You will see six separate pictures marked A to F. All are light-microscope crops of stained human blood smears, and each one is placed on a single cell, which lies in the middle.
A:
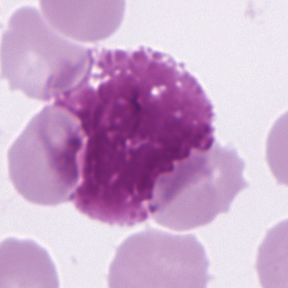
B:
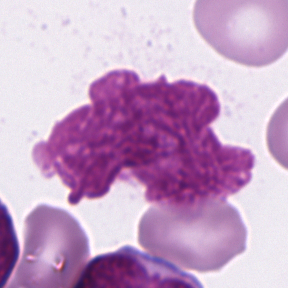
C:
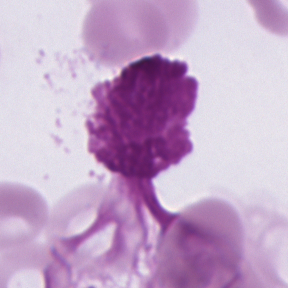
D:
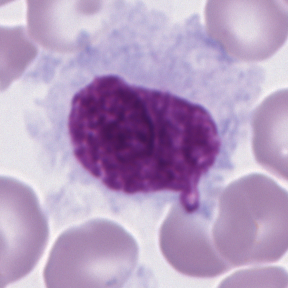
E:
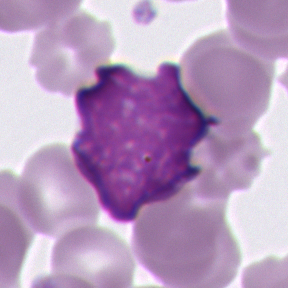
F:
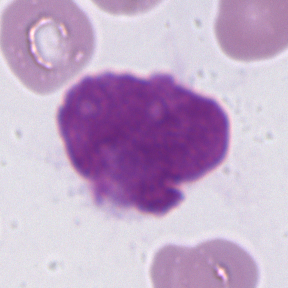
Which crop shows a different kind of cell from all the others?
D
